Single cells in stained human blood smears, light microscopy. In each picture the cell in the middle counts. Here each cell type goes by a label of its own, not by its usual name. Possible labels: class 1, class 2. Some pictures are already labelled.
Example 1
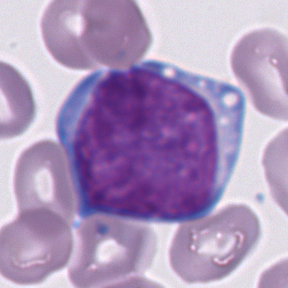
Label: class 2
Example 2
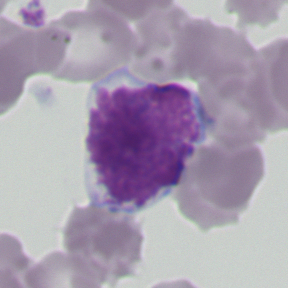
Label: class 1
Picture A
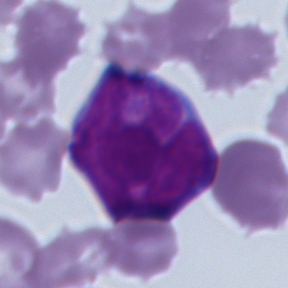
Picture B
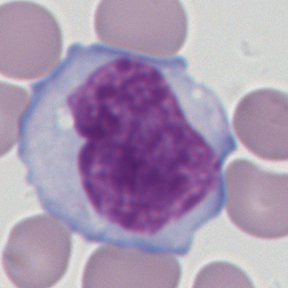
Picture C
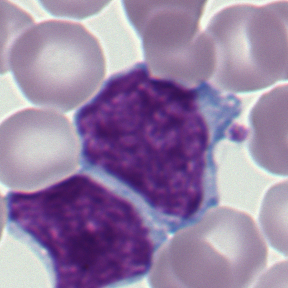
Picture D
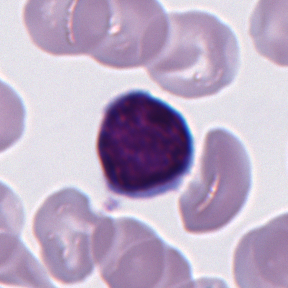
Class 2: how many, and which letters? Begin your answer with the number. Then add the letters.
2: A, B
